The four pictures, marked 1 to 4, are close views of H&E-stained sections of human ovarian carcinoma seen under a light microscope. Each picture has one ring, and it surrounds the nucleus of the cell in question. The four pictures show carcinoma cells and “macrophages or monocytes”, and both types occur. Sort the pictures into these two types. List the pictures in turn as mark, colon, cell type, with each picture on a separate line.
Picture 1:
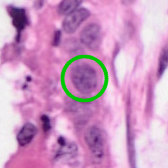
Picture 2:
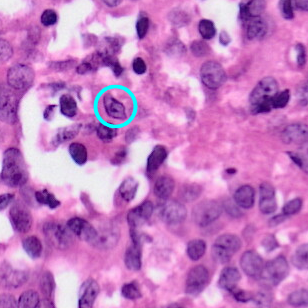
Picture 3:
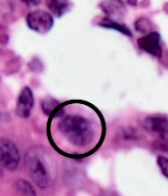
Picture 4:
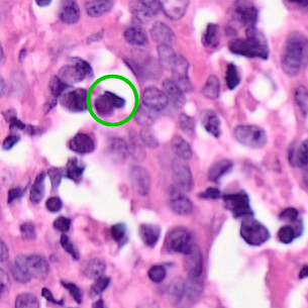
1: carcinoma cell
2: macrophage or monocyte
3: carcinoma cell
4: carcinoma cell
